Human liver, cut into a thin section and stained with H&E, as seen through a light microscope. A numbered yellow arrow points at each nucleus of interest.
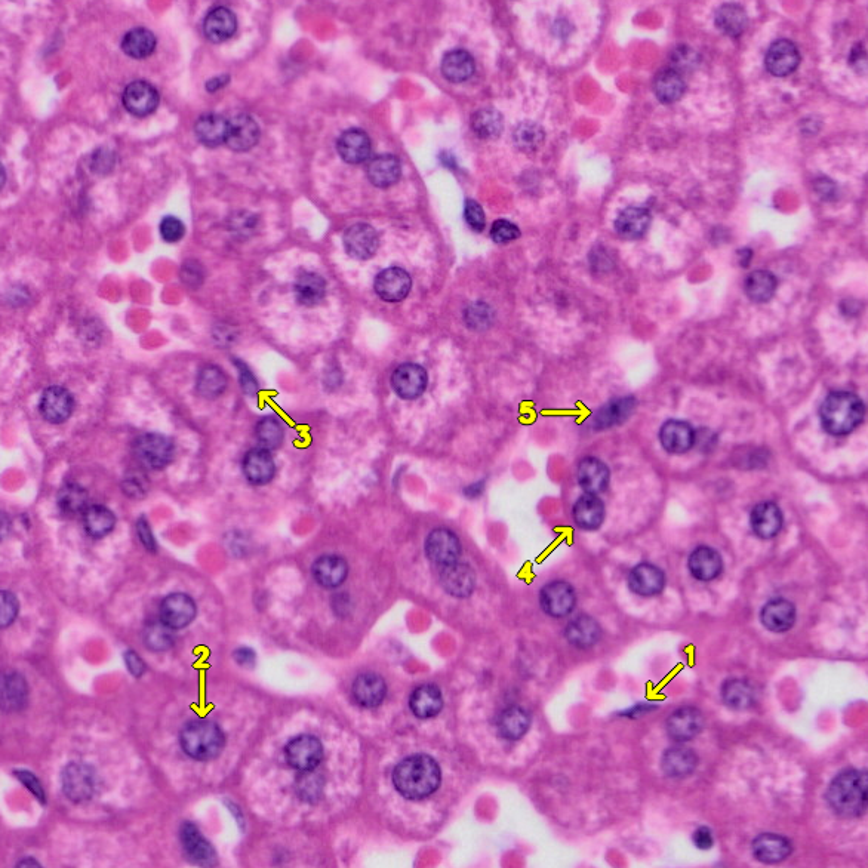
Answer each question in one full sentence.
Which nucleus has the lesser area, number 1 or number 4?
The smaller nucleus is 1, and 4 covers roughly 2.5 times its area.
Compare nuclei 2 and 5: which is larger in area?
Of the two, number 2 is bigger and takes up about 1.5 times the area of number 5.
